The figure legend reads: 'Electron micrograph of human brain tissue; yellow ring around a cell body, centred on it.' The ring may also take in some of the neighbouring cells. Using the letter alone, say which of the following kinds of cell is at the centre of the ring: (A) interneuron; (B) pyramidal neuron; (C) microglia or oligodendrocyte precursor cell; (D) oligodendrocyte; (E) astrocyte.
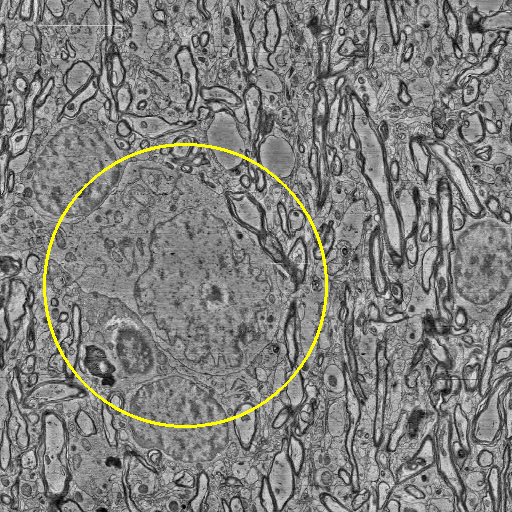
A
